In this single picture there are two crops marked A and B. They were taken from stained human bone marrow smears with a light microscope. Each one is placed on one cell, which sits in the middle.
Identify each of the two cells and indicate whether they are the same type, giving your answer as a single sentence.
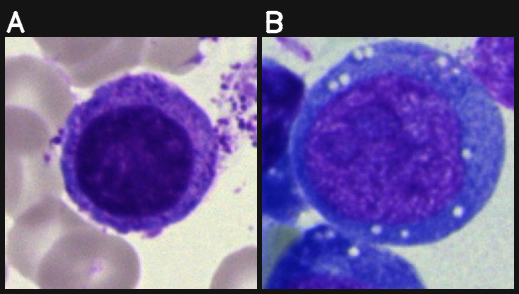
No, the cell of interest in crop A is a myelocyte, and in crop B it is a blast.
